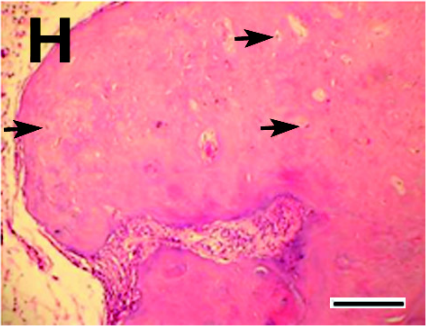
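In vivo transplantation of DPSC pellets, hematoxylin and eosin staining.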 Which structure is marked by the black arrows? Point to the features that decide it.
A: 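Arrows point to small pale spaces within a dense pink matrix. Few of the spaces contain a visible nucleus.
Conclusion: Osteocyte lacunae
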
